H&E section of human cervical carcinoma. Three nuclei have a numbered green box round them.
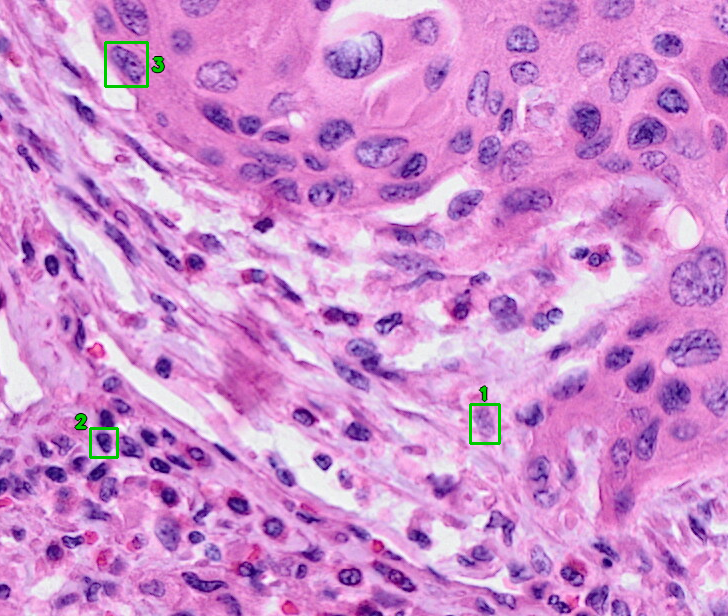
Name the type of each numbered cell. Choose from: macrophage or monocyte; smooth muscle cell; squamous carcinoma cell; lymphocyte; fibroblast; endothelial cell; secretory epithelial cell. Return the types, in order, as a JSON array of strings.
["fibroblast", "lymphocyte", "squamous carcinoma cell"]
